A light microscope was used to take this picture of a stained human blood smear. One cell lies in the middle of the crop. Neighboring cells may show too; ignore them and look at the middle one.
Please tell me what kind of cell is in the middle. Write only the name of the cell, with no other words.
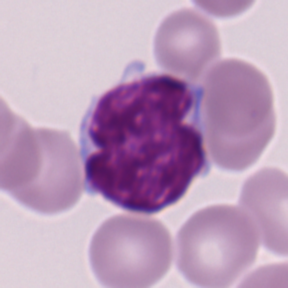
large granular lymphocyte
